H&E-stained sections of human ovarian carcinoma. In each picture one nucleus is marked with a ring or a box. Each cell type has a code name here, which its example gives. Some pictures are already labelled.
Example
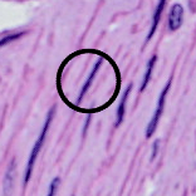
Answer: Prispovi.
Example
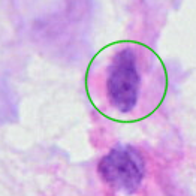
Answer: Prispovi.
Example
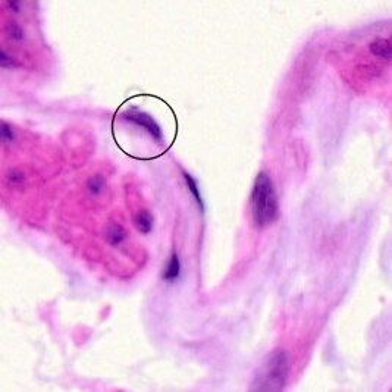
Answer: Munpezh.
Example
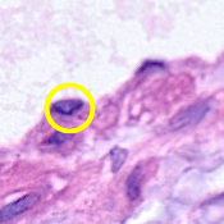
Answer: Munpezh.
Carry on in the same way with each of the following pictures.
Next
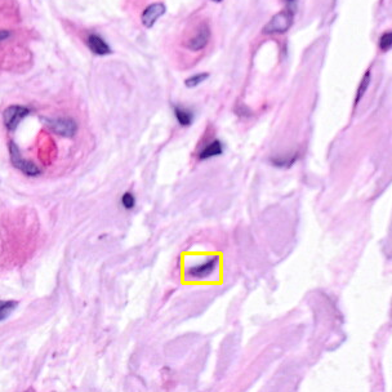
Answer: Munpezh.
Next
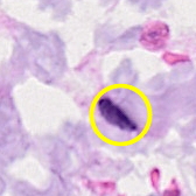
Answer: Prispovi.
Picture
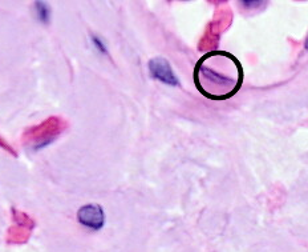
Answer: Munpezh.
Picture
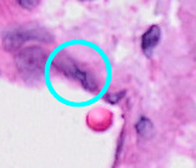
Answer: Munpezh.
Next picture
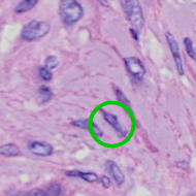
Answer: Prispovi.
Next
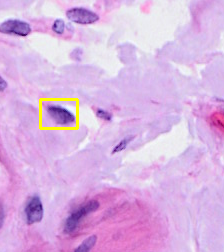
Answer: Prispovi.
